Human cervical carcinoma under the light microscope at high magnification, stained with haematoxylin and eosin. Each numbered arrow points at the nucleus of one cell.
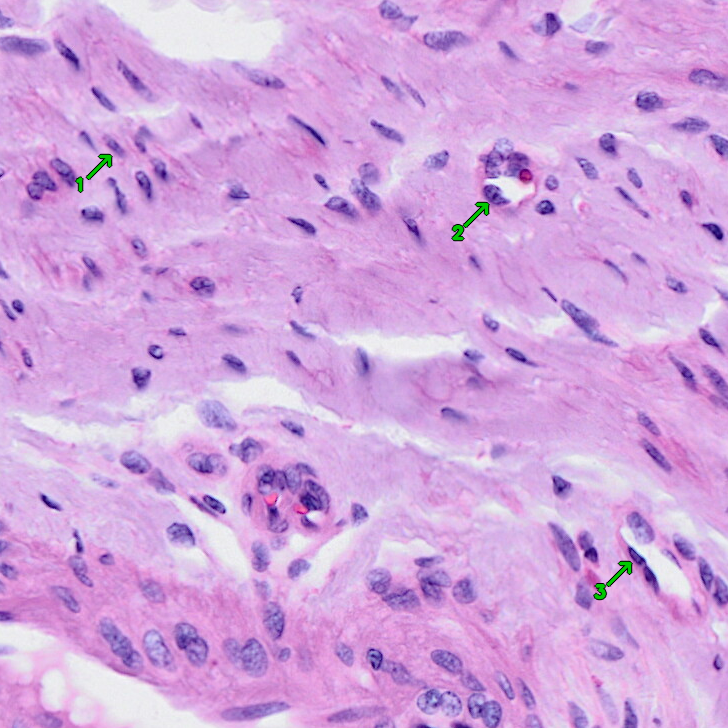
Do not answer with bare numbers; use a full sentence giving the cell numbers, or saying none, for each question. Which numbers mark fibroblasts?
In short, fibroblasts do not occur among the numbered cells.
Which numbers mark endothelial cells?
Cells numbered 2 and 3 belong to the group of endothelial cells.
